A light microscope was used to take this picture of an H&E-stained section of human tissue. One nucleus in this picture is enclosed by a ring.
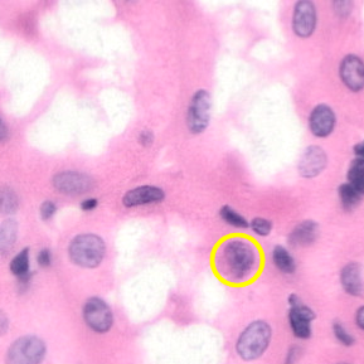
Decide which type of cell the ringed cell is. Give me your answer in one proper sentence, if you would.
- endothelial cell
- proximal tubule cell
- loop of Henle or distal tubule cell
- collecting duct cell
The category to which the ringed cell belongs is that of a proximal tubule cell.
